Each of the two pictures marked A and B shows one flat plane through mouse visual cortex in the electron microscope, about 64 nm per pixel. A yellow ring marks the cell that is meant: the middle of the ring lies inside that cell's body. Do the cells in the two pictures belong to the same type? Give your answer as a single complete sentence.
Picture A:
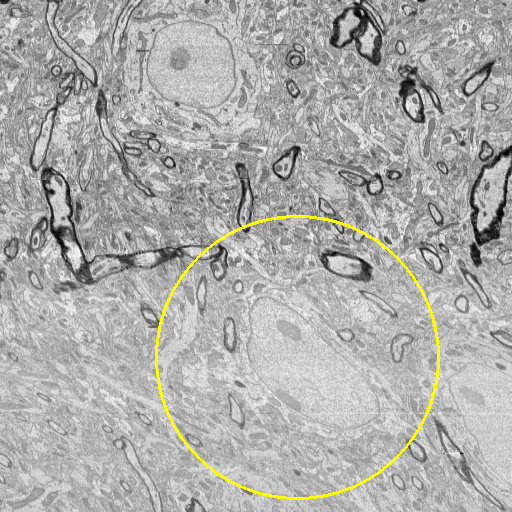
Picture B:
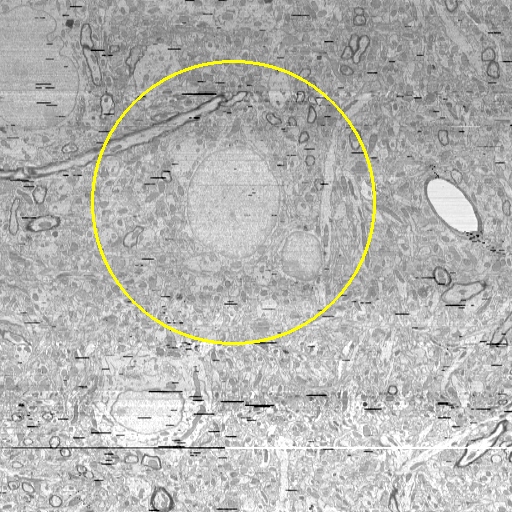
Yes; the cells in both pictures are astrocytes.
